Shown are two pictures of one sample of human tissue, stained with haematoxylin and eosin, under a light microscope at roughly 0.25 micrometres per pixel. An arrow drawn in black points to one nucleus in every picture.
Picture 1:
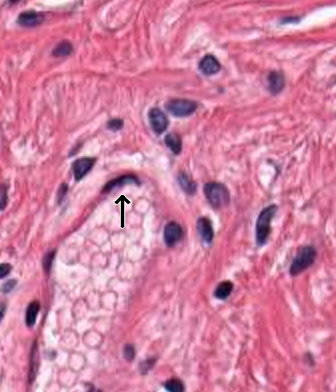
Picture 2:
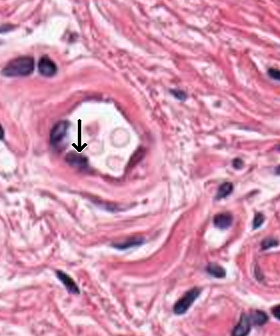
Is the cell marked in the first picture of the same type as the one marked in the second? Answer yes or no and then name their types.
Yes, both are endothelial cells.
